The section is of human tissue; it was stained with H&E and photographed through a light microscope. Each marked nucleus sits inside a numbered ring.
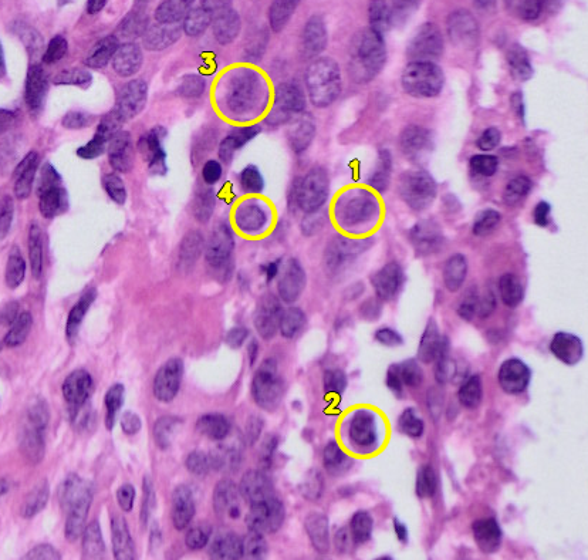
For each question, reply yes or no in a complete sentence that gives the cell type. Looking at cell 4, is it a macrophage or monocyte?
Yes, it is a macrophage or monocyte that carries the number 4.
